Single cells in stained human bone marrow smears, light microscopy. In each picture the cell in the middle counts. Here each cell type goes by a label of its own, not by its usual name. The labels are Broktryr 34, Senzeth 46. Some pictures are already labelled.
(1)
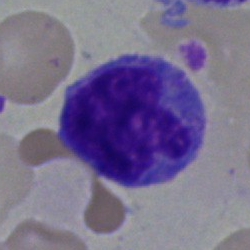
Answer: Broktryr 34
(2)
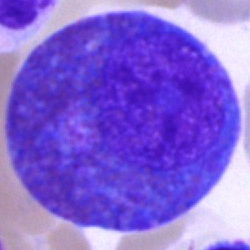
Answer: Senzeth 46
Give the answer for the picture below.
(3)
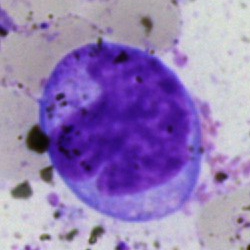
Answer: Broktryr 34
